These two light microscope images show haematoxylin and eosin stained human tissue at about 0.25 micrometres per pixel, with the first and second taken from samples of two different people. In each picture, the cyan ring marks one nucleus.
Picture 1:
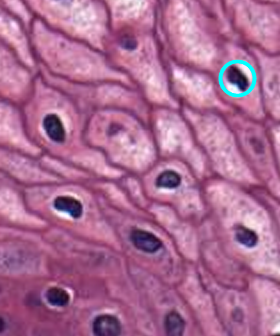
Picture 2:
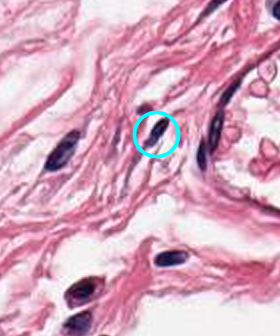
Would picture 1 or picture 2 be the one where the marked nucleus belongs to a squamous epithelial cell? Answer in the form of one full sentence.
Although both pictures carry a marked nucleus, only in picture 1 does it belong to a squamous epithelial cell.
